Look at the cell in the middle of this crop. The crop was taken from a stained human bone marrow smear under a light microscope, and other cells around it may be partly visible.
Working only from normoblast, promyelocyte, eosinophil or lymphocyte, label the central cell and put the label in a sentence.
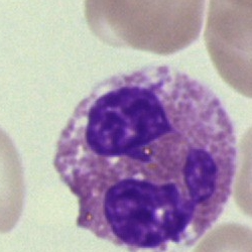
The middle of this crop holds an eosinophil.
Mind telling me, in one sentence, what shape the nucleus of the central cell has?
The nuclear outline breaks up into two or more lobes.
